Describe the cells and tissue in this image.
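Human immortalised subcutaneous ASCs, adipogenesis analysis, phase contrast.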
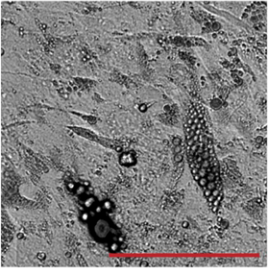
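Most cells are flat and spread, forming a confluent sheet with faint outlines and a finely granular cytoplasm. Two cells stand out: one at the lower left holds a cluster of large, round, refractile droplets with dark rims, some fused into bigger spheres; another, elongated and spindle-shaped, is packed along its length with many smaller droplets of similar size.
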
